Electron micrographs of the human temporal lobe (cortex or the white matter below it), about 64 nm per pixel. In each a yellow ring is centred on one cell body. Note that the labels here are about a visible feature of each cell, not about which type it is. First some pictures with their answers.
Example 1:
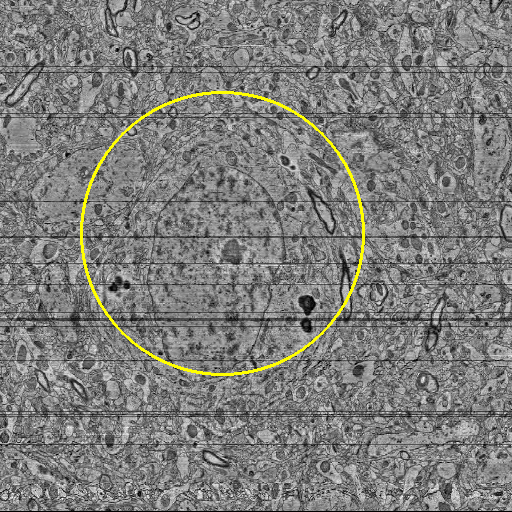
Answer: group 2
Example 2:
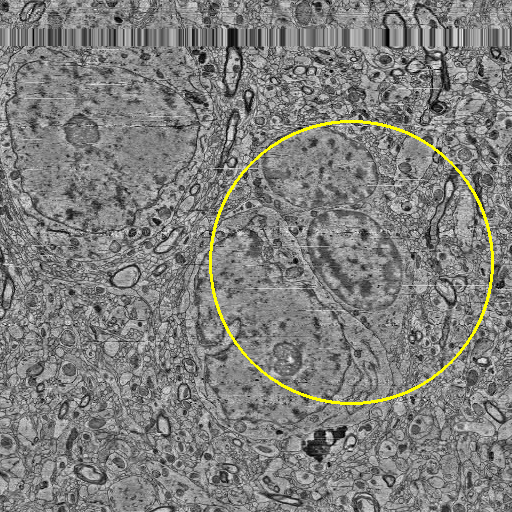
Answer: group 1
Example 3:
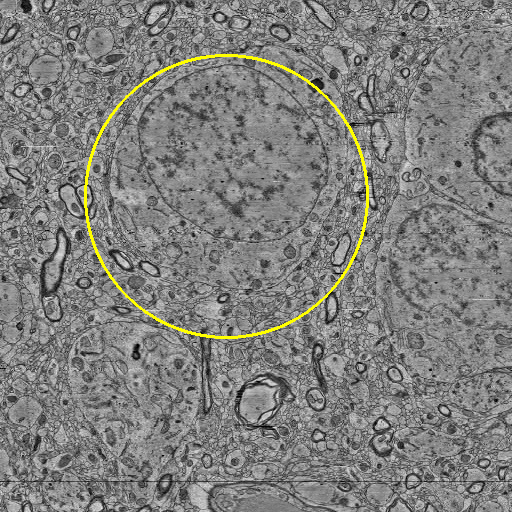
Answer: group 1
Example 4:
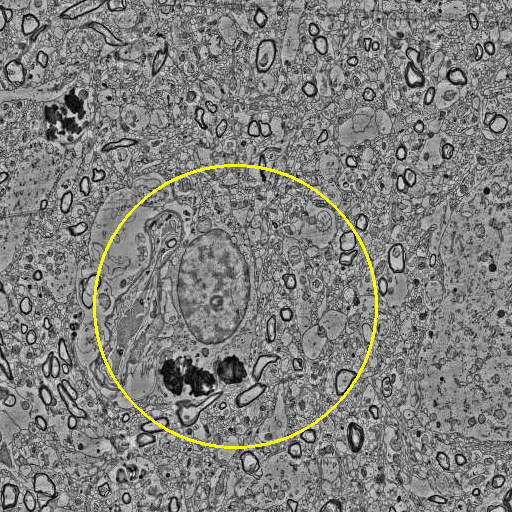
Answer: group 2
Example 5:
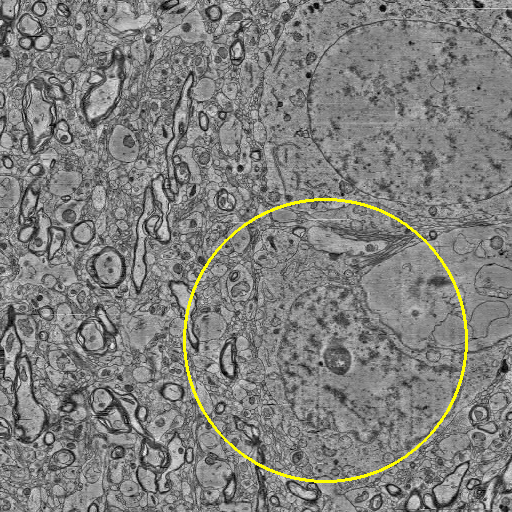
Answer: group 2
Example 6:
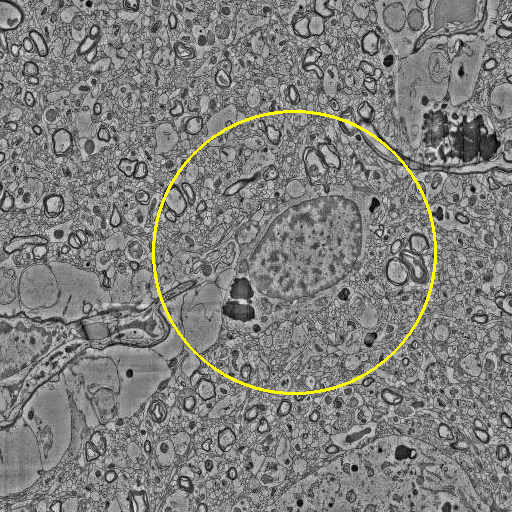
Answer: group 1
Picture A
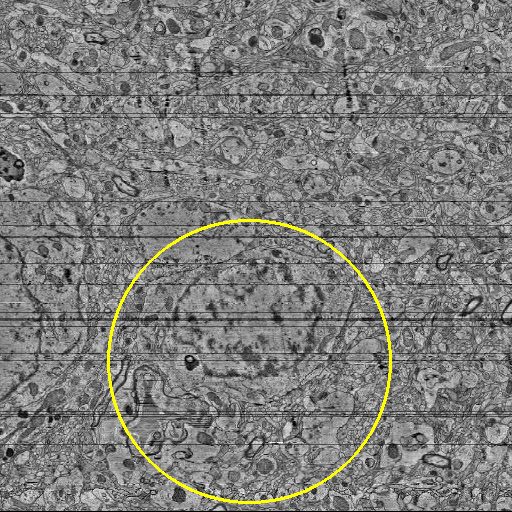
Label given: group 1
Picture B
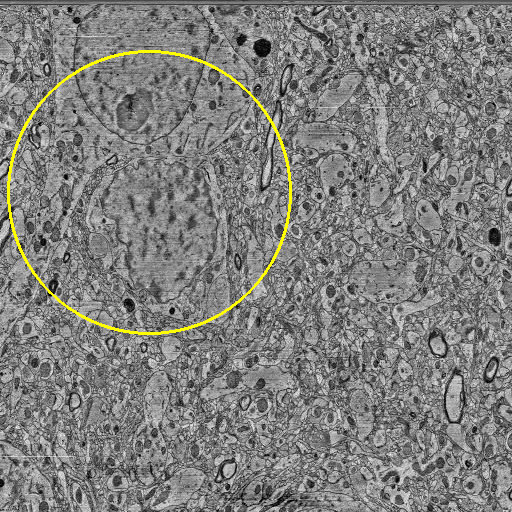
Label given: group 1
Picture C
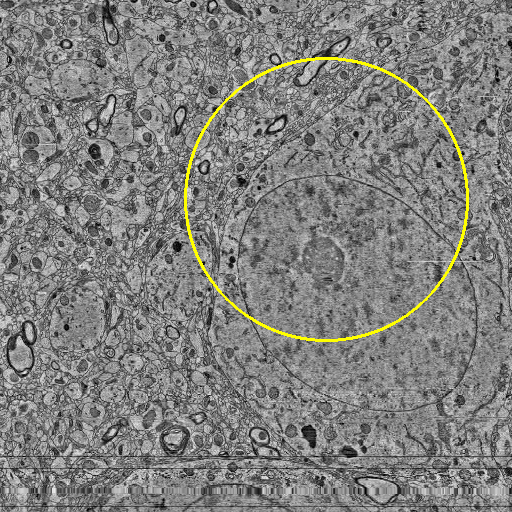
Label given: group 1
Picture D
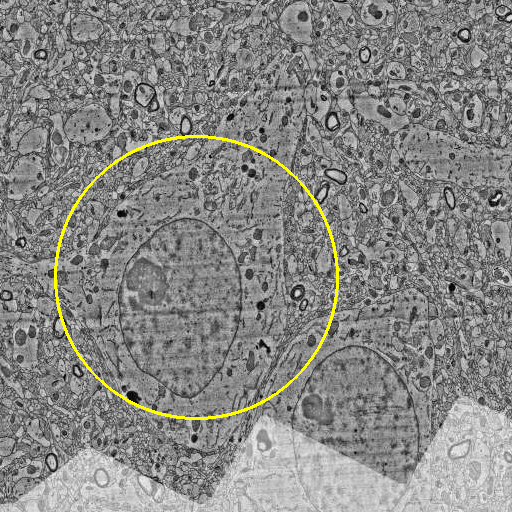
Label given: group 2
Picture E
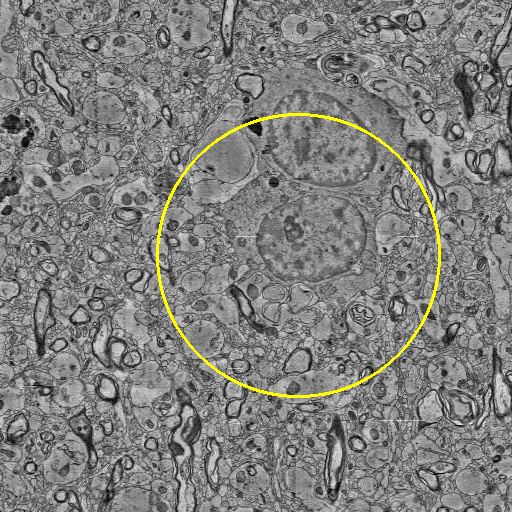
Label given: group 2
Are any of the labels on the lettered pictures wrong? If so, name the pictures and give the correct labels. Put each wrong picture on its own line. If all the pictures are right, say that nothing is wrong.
C should be group 2, not group 1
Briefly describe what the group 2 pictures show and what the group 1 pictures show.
In group 2: nucleolus seen. In group 1: no nucleolus seen.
